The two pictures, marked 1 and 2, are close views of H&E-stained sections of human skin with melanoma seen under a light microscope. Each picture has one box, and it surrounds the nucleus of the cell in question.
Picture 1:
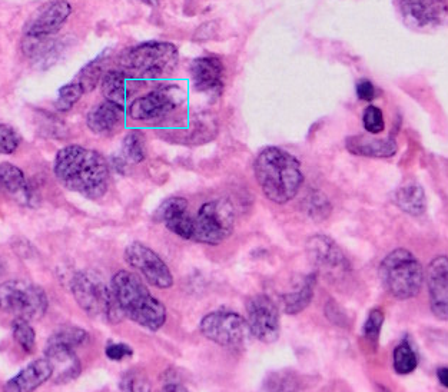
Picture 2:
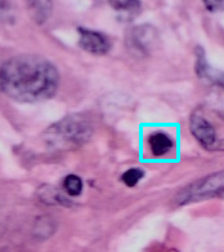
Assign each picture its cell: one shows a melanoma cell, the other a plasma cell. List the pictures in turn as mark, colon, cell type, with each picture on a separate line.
1: melanoma cell
2: plasma cell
